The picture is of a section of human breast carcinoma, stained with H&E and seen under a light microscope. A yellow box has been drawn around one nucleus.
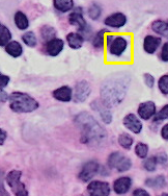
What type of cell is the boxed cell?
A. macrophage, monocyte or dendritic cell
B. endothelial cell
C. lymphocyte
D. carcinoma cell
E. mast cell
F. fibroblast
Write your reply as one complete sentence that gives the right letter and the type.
That the boxed cell is a lymphocyte makes option C the correct choice.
